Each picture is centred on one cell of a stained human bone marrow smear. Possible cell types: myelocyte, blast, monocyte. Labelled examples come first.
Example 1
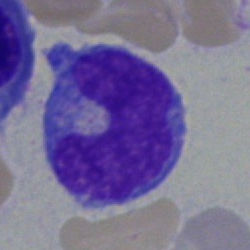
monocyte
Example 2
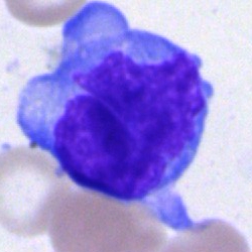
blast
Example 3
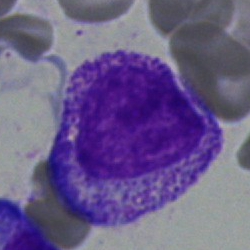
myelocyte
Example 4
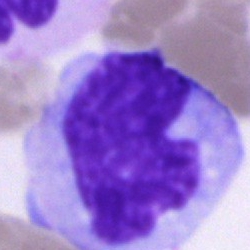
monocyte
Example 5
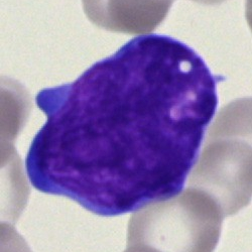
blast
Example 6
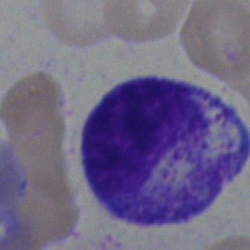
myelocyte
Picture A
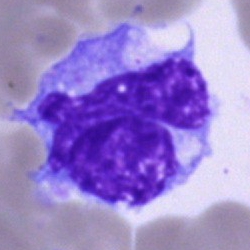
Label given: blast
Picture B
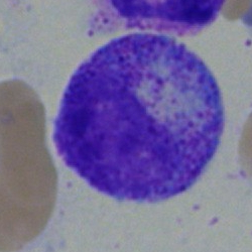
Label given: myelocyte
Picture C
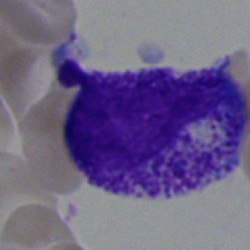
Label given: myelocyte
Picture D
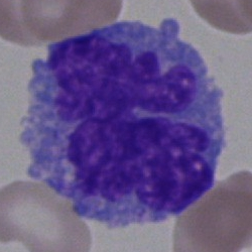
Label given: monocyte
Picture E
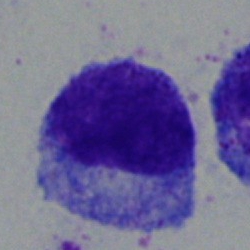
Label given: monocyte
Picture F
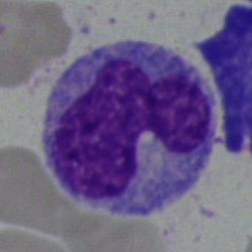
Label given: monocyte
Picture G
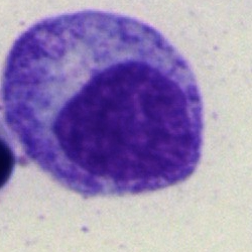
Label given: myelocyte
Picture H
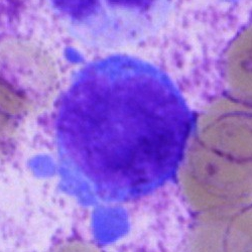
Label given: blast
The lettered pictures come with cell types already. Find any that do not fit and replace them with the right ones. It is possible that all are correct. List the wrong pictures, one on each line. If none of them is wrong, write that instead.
Wrong: A (blast); correct: monocyte
Wrong: E (monocyte); correct: myelocyte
